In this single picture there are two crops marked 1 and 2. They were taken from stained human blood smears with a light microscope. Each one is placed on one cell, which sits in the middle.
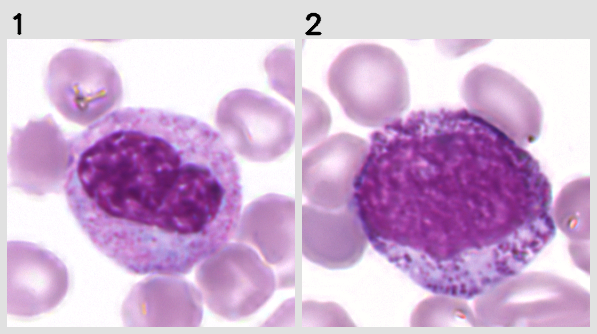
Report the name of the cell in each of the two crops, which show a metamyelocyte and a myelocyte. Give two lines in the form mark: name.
1: metamyelocyte
2: myelocyte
